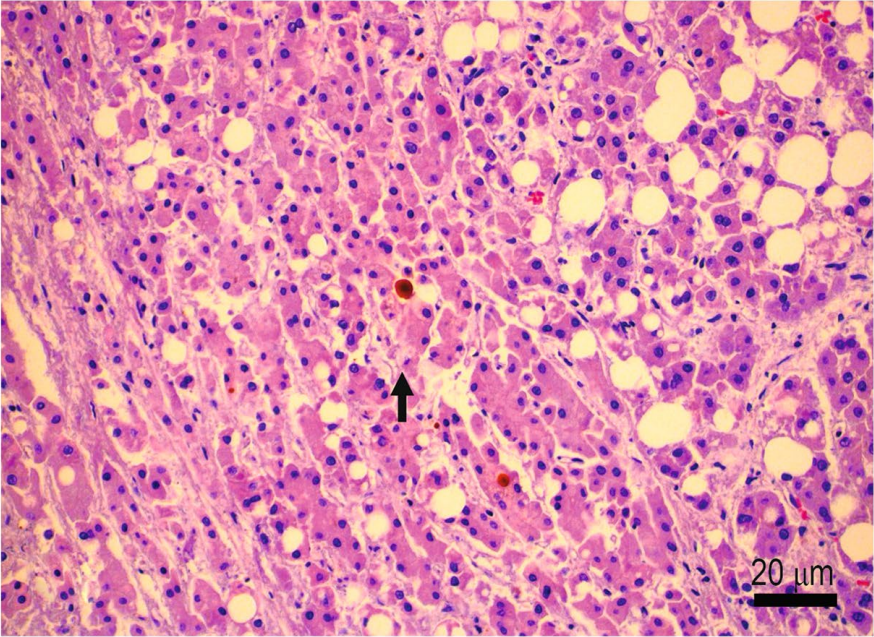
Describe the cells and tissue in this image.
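Polygonal cells with pink, sometimes granular cytoplasm and round, centrally placed purple nuclei are arranged in cords and plates separated by narrow spaces. The normal orderly lobular pattern of the liver is not seen. A few small brown-staining bodies are present among the cells.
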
